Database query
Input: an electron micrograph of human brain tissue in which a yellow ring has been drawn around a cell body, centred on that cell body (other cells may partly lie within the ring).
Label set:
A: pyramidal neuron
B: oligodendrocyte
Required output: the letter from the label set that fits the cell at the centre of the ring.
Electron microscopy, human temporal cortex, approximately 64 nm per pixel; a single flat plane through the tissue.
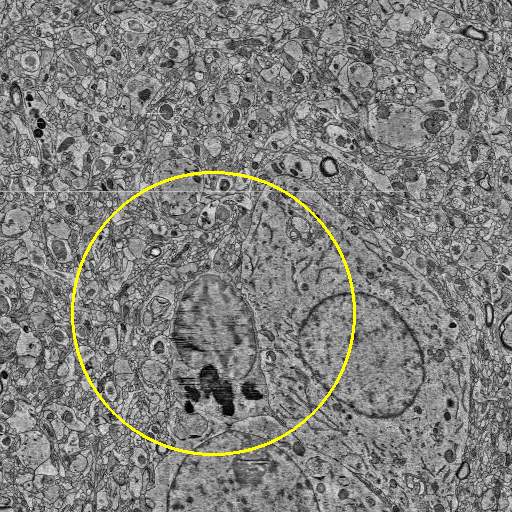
B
